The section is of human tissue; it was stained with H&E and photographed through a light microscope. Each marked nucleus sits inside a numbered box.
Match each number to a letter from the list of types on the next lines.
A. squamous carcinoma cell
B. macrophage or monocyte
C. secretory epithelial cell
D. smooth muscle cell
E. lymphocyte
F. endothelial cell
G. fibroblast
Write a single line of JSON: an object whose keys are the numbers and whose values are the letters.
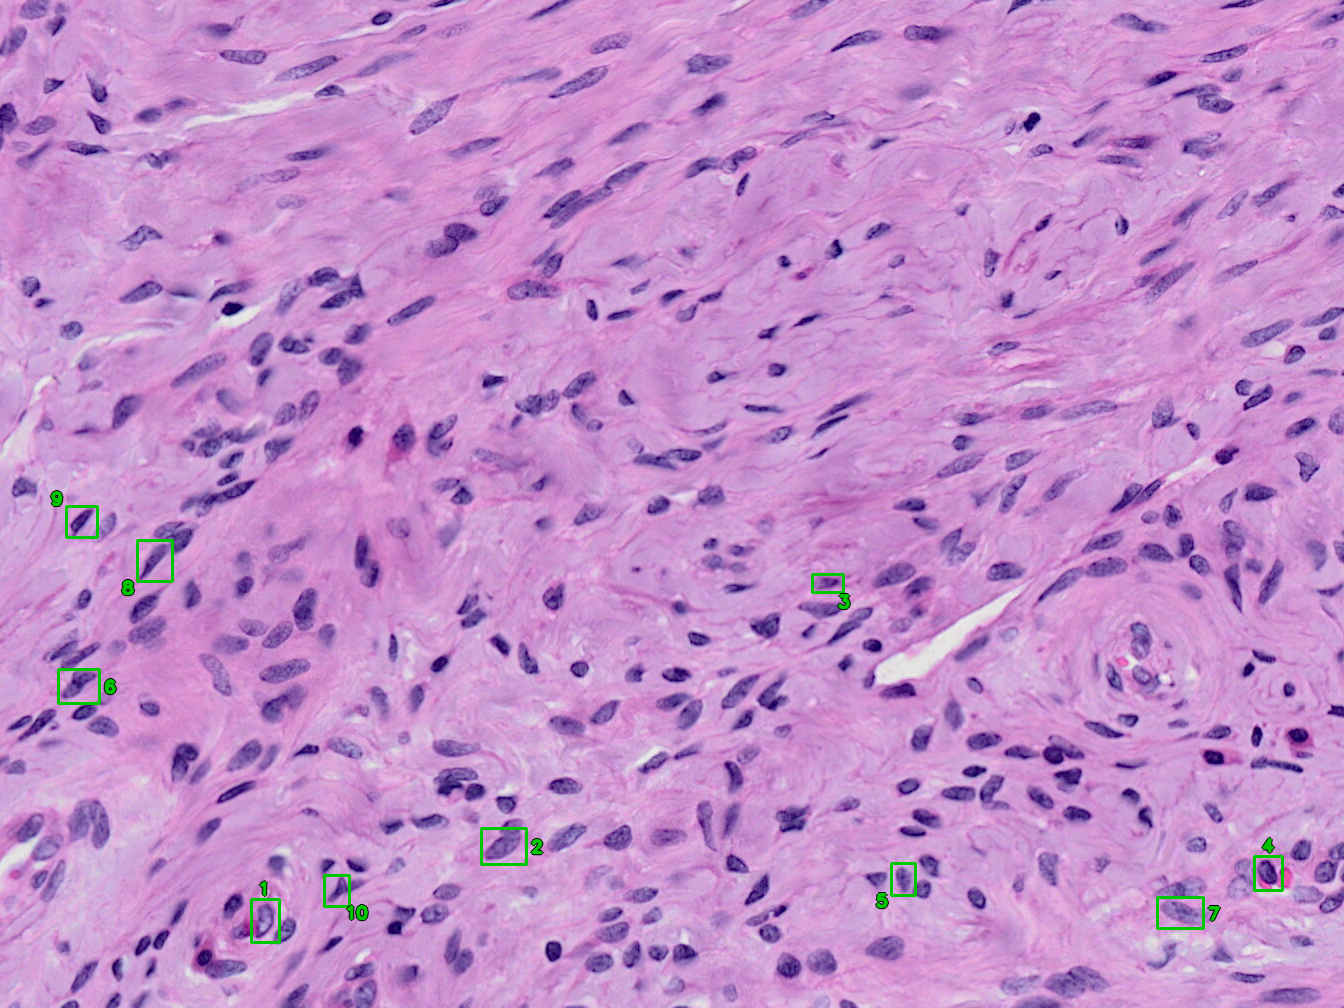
{"1": "F", "2": "G", "3": "D", "4": "F", "5": "G", "6": "G", "7": "D", "8": "G", "9": "G", "10": "G"}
